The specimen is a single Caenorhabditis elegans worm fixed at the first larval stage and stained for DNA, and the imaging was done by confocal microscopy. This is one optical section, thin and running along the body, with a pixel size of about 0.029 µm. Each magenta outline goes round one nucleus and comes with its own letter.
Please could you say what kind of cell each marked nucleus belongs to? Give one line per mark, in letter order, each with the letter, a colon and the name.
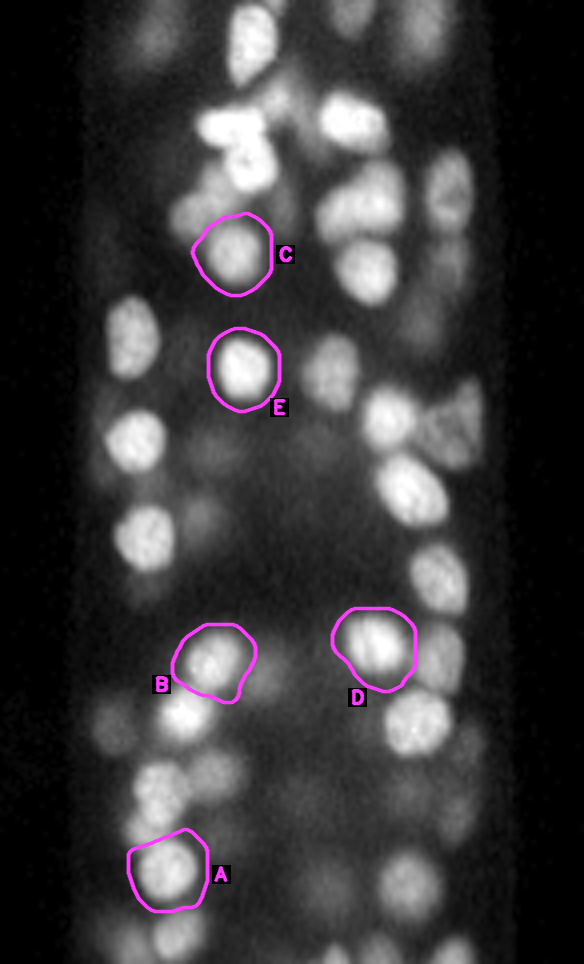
A: neuron
B: GLR cell
C: neuron
D: GLR cell
E: neuron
